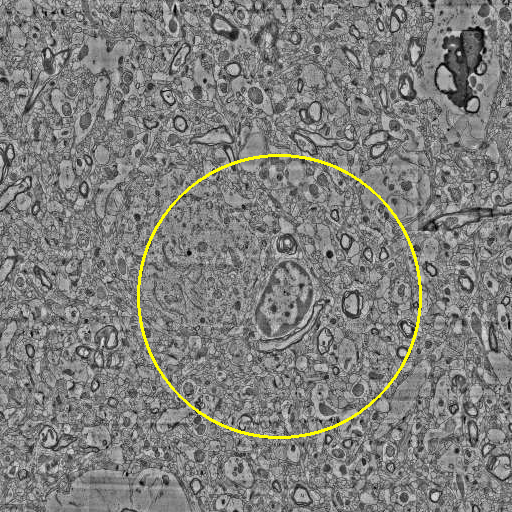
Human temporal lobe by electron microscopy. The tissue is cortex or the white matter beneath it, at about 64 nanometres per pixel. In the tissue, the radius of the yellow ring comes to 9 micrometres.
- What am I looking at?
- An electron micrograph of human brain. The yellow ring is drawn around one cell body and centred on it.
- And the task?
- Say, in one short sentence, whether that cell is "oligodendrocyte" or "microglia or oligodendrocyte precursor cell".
The cell in the middle of the ring is a microglial cell or oligodendrocyte precursor cell.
